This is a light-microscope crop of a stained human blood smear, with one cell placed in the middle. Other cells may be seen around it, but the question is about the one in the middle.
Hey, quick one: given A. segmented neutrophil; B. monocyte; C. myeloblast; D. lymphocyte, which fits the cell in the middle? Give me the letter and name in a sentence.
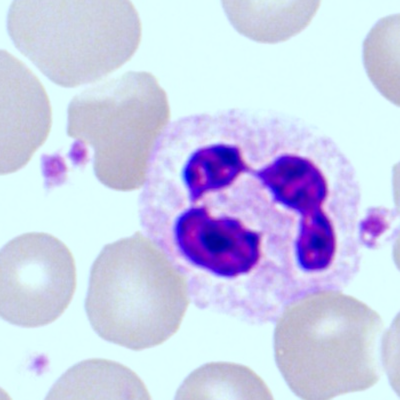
Option A is the right one, for the cell in the middle is a segmented neutrophil.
